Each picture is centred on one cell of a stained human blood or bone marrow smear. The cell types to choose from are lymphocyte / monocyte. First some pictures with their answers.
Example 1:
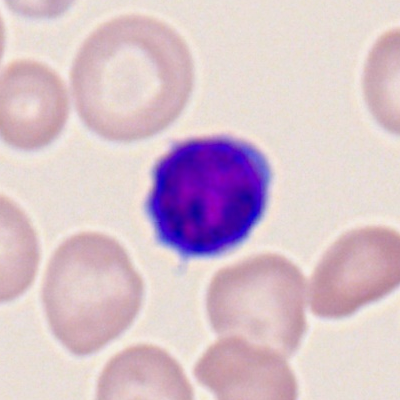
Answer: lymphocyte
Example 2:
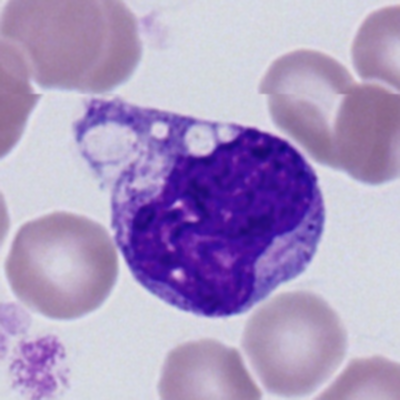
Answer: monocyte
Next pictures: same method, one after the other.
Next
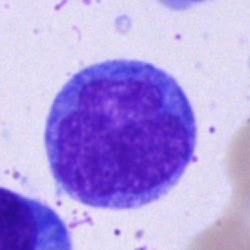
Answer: monocyte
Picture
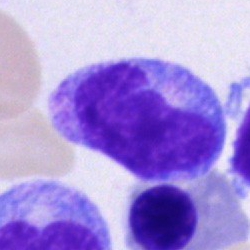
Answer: monocyte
